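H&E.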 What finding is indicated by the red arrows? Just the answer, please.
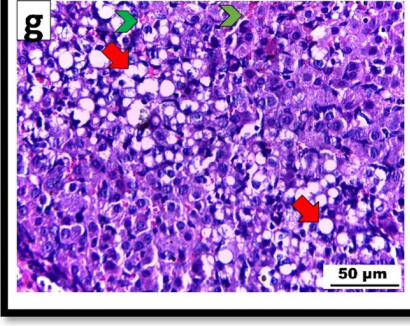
Fatty degeneration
